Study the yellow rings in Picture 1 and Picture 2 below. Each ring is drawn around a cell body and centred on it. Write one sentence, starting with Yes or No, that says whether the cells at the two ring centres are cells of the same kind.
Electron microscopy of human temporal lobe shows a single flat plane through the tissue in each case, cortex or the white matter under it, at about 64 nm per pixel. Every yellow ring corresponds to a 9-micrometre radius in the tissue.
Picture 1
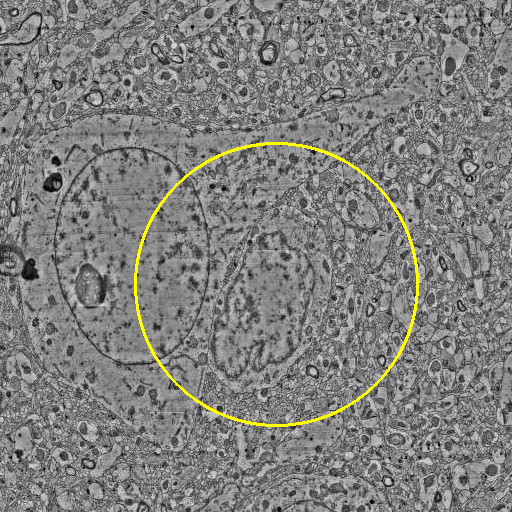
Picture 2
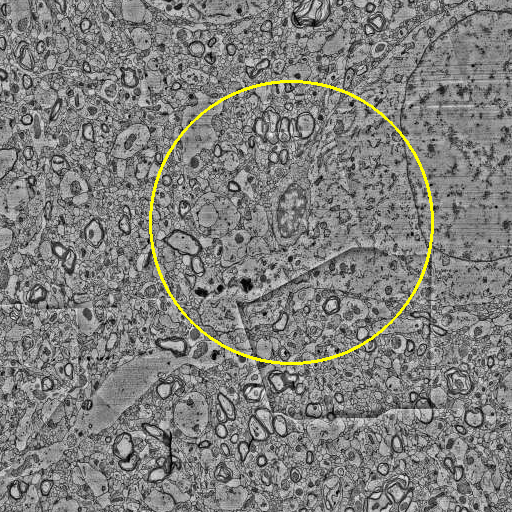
No, the cells at the ring centres are of two kinds.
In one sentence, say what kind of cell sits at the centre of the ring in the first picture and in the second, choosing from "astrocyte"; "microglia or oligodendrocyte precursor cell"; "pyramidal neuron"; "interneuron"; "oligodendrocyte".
The first picture's ringed cell is an interneuron, while the second picture's is an oligodendrocyte.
